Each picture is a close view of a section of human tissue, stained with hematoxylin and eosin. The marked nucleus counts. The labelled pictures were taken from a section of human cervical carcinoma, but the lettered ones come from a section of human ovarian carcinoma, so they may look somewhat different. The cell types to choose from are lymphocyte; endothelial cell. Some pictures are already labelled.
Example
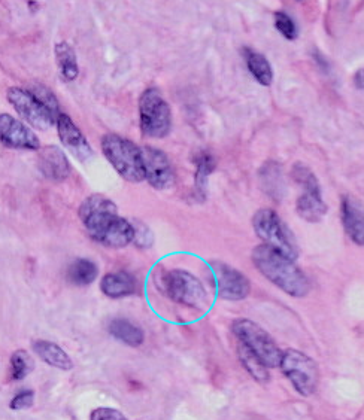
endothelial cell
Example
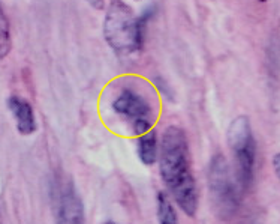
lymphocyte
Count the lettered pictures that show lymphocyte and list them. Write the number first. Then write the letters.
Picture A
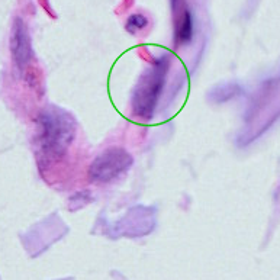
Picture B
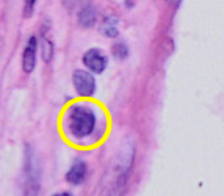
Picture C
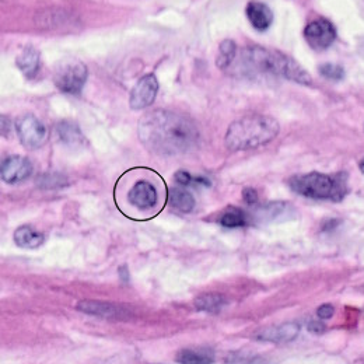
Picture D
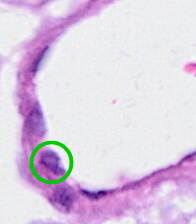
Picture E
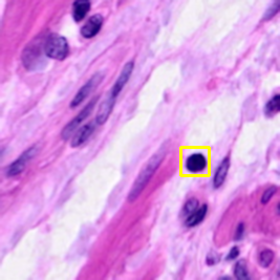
3: B, C, E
